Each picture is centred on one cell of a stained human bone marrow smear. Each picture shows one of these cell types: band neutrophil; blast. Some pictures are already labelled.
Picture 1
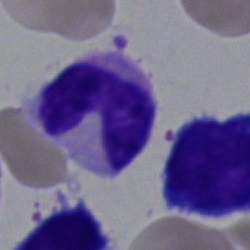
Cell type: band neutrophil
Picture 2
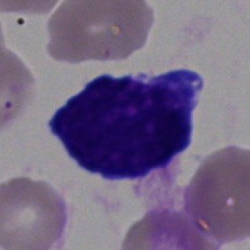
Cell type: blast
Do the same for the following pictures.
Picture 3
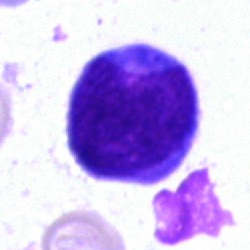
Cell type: blast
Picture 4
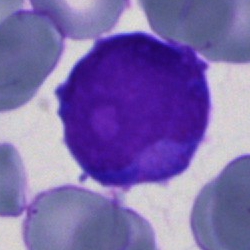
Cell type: blast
